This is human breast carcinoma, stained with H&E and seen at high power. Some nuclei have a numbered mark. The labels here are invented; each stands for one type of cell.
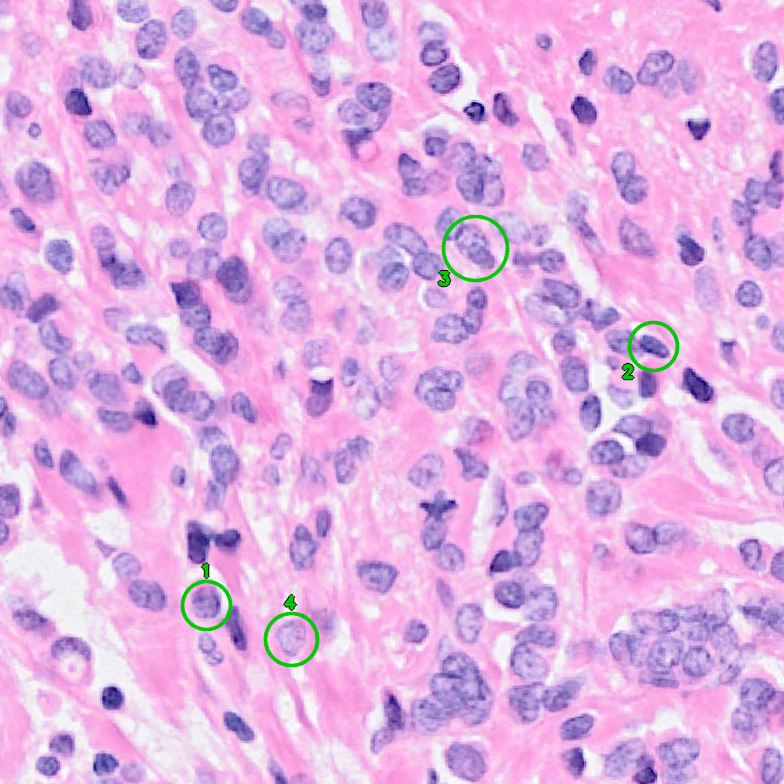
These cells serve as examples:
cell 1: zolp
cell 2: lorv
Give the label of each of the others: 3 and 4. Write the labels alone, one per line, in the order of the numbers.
zolp
zolp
